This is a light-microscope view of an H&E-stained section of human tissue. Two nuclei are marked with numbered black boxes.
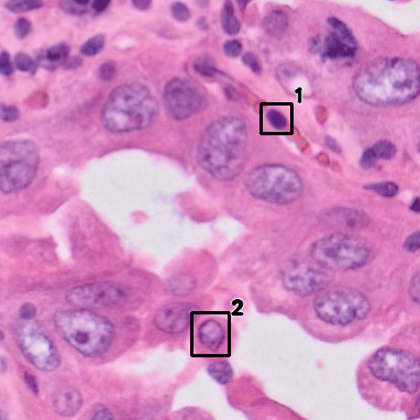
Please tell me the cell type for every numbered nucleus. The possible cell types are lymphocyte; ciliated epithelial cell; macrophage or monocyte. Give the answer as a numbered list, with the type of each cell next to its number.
1. lymphocyte
2. macrophage or monocyte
